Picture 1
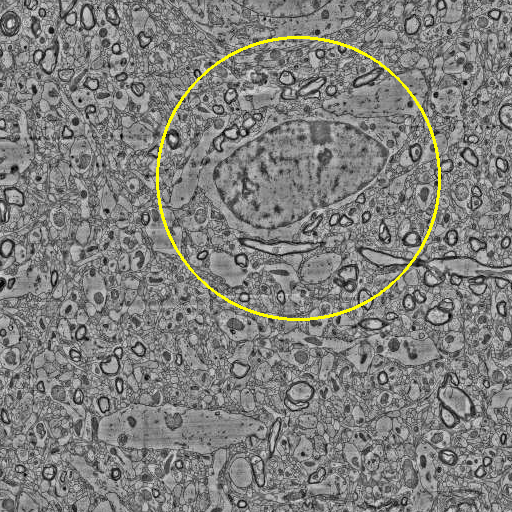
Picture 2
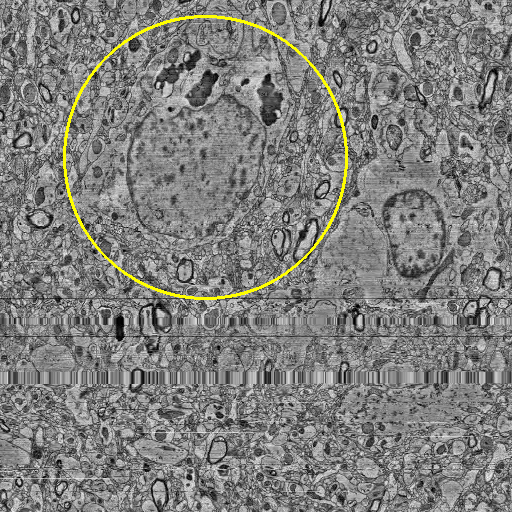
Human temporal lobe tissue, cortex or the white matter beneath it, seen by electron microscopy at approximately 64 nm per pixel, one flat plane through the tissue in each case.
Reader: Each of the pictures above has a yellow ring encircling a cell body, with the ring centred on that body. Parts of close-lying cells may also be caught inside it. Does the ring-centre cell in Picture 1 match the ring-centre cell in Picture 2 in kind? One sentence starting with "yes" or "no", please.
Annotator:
No, Picture 1 and Picture 2 show ring-centre cells of two kinds.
